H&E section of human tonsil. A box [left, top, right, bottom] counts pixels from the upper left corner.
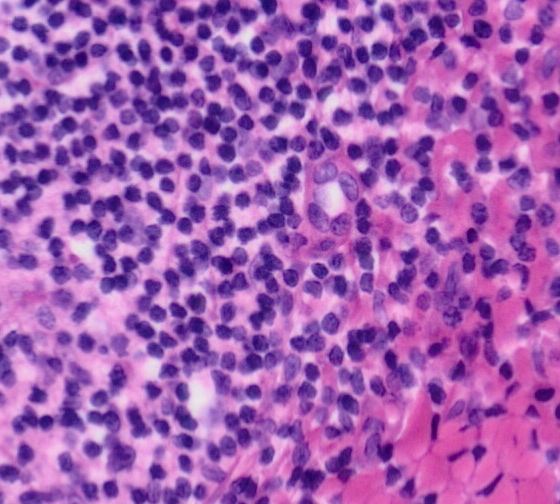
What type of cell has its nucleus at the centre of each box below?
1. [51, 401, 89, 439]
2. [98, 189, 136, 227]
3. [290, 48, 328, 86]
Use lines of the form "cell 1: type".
cell 1: proliferating B cell
cell 2: small lymphocyte
cell 3: small lymphocyte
